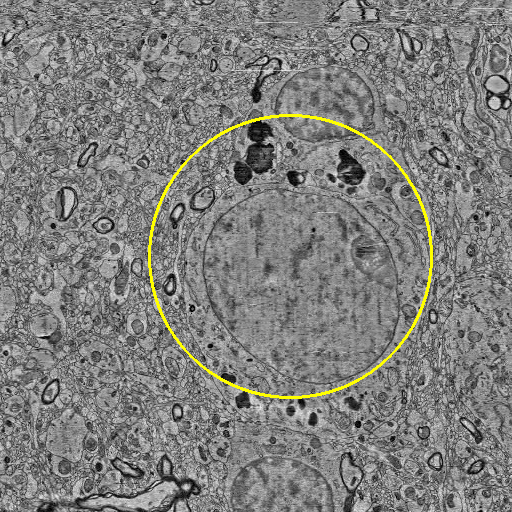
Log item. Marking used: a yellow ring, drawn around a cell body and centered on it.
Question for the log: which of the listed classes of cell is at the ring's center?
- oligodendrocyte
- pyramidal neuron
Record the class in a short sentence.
At the center of the ring lies a pyramidal neuron.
